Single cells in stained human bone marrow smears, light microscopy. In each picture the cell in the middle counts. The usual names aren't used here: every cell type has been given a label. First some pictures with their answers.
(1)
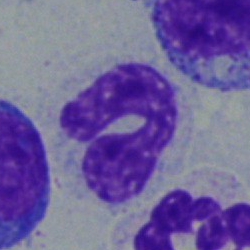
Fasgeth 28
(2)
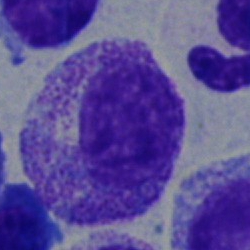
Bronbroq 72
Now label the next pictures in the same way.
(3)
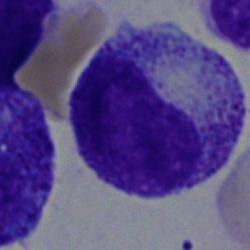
Bronbroq 72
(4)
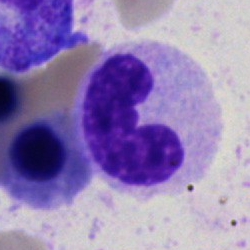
Fasgeth 28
